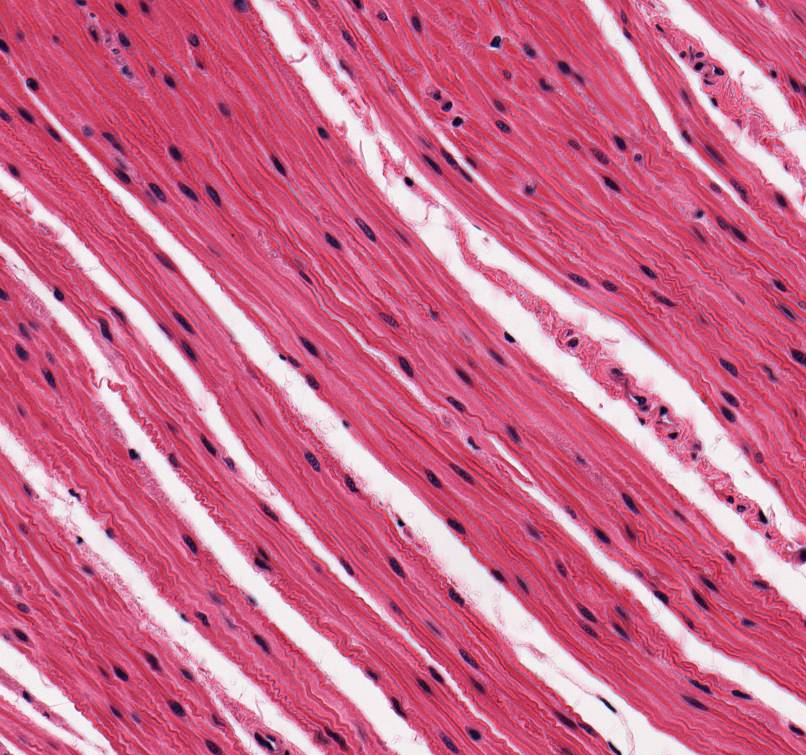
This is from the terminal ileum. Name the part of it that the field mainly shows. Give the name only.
smooth muscle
